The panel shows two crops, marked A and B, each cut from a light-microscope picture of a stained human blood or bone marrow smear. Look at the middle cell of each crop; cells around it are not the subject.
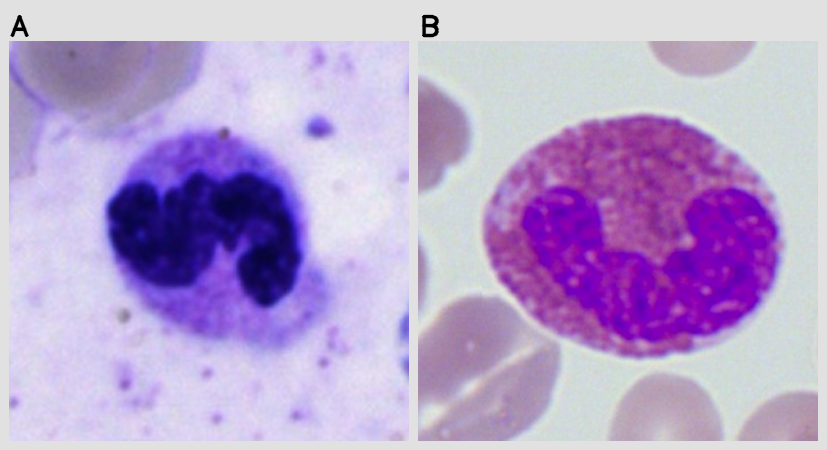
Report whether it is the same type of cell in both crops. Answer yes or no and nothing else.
no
